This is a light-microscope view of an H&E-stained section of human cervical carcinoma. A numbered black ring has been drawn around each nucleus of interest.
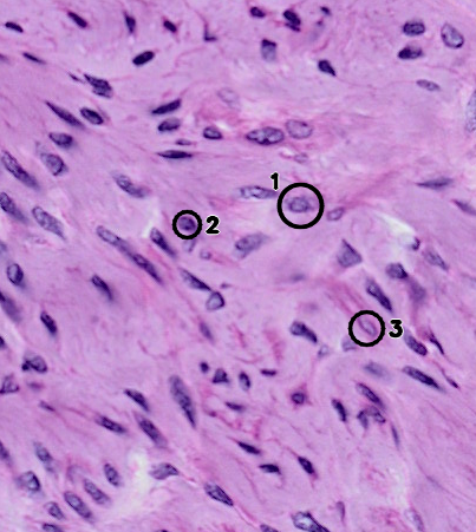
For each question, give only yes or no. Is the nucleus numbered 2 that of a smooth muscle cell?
no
